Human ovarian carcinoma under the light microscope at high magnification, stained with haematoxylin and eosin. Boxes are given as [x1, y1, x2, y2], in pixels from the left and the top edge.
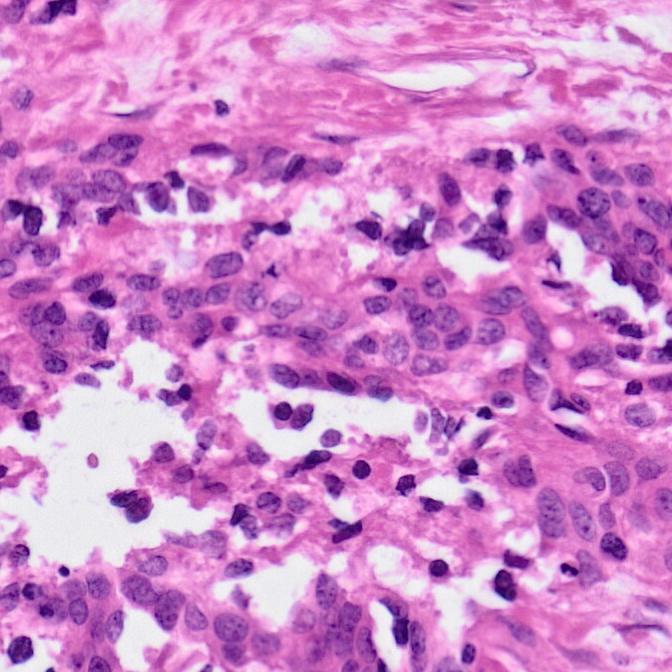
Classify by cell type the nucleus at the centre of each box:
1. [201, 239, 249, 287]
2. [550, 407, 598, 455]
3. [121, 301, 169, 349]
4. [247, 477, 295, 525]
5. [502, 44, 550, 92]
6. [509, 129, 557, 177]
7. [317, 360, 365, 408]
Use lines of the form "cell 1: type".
cell 1: carcinoma cell
cell 2: endothelial cell
cell 3: carcinoma cell
cell 4: macrophage or monocyte
cell 5: fibroblast
cell 6: carcinoma cell
cell 7: carcinoma cell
